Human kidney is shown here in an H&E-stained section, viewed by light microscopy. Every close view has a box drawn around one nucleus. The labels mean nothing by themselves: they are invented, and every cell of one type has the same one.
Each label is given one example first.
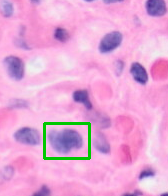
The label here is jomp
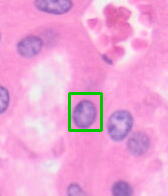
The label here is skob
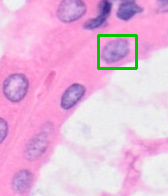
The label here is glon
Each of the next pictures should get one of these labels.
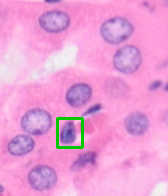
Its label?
jomp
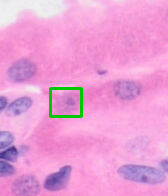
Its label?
skob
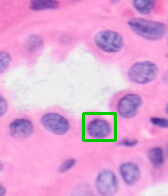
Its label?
glon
